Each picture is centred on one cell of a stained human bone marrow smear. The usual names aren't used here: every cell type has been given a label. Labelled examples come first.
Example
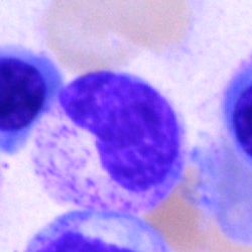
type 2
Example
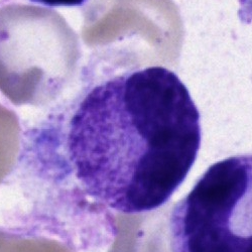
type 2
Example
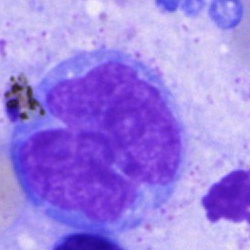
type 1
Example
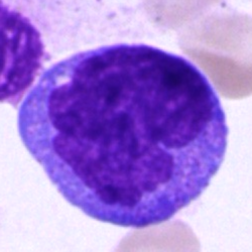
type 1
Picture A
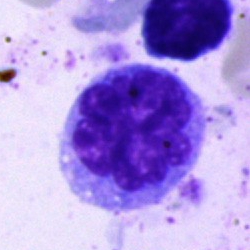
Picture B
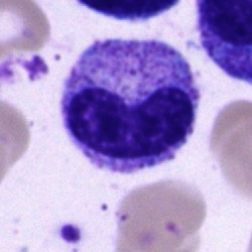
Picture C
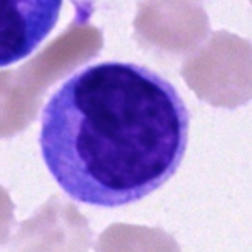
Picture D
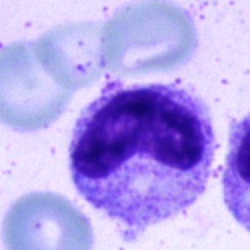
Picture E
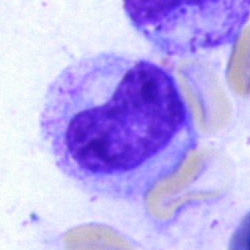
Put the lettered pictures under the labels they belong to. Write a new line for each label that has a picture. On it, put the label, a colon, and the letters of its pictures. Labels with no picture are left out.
type 2: B, D, E
type 1: A, C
